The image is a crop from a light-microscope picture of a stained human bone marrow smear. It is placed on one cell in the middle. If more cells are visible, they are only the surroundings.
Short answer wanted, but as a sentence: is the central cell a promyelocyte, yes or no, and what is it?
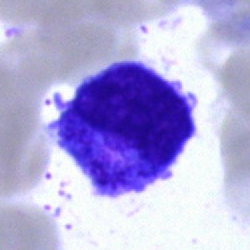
Yes, the cell that lies centrally is a promyelocyte.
